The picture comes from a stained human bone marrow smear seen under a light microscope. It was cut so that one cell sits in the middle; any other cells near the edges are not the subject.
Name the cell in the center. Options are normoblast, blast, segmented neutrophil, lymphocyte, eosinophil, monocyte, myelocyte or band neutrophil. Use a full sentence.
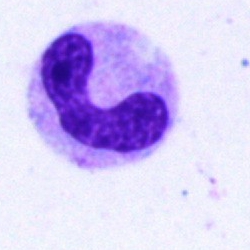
Here the centrally located cell is a band neutrophil.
